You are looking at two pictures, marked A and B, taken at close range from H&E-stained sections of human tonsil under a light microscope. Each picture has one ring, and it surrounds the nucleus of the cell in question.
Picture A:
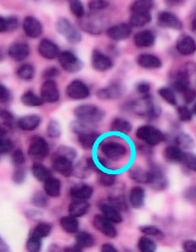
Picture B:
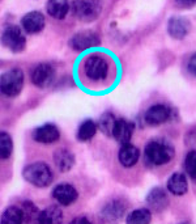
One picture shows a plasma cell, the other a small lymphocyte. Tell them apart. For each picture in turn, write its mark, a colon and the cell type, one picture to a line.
A: small lymphocyte
B: plasma cell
